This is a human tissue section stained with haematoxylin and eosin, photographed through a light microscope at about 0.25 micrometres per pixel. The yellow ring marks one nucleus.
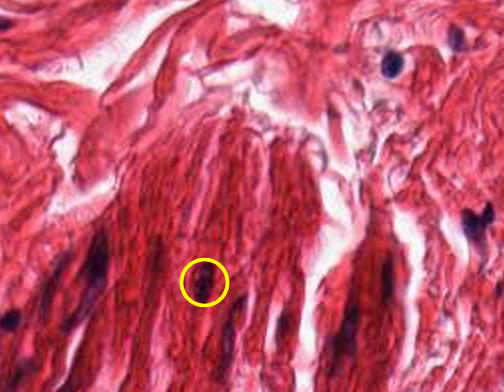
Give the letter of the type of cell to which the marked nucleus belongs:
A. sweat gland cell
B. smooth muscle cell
B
